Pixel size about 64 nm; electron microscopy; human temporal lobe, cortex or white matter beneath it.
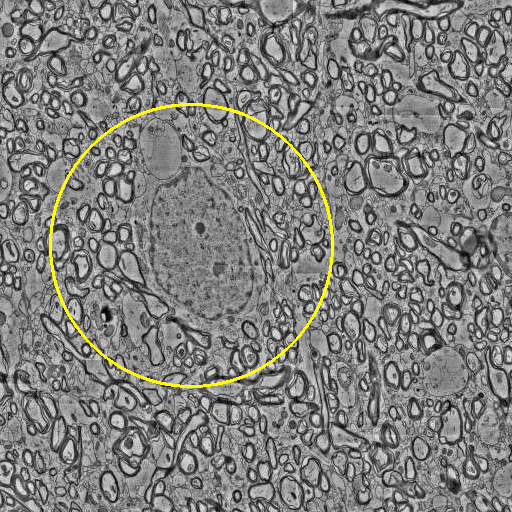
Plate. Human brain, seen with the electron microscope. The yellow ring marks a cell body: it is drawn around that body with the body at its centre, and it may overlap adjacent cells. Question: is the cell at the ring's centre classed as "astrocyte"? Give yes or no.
yes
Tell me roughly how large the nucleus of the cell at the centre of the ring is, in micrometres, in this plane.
About 10 by 7 micrometres in this plane.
